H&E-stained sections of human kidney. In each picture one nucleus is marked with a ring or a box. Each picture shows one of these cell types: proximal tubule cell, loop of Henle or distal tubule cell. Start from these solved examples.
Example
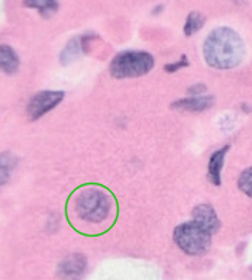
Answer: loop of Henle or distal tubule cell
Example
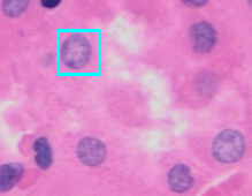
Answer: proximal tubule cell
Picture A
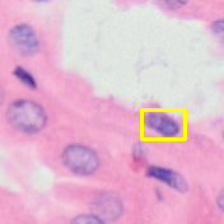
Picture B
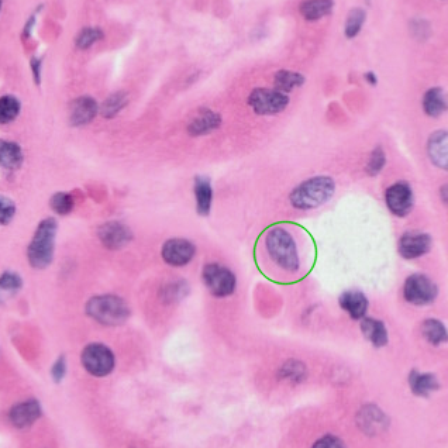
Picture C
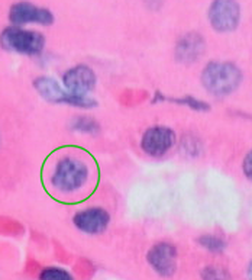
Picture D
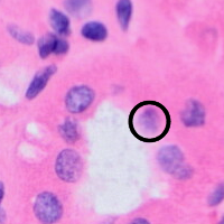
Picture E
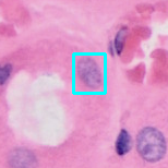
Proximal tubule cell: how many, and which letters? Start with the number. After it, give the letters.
1, namely E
